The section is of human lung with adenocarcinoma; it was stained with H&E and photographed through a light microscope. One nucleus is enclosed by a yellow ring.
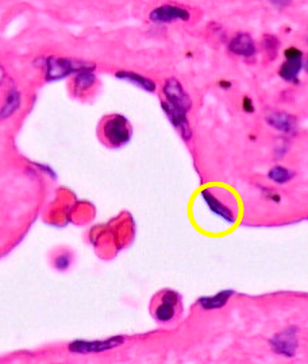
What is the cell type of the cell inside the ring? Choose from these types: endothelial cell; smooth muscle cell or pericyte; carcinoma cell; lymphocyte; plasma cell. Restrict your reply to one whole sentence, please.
As far as its identity is concerned, the cell inside the ring is an endothelial cell.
